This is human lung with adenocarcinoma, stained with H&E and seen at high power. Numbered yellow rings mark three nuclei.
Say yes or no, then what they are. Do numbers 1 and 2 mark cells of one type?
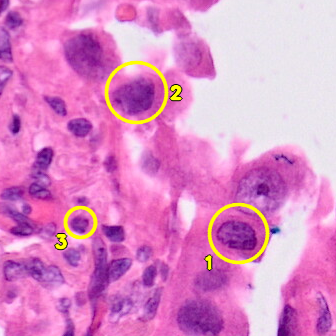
Yes, that is correct, cells 1 and 2 are both carcinoma cells.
